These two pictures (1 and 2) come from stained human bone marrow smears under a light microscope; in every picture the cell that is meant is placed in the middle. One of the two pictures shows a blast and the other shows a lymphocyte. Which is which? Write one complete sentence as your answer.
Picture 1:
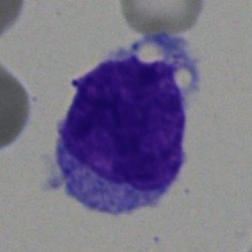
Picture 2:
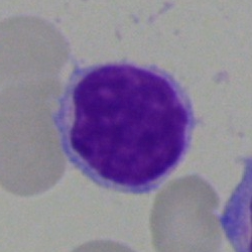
It is picture 1 that shows a blast, and picture 2 that shows a lymphocyte.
